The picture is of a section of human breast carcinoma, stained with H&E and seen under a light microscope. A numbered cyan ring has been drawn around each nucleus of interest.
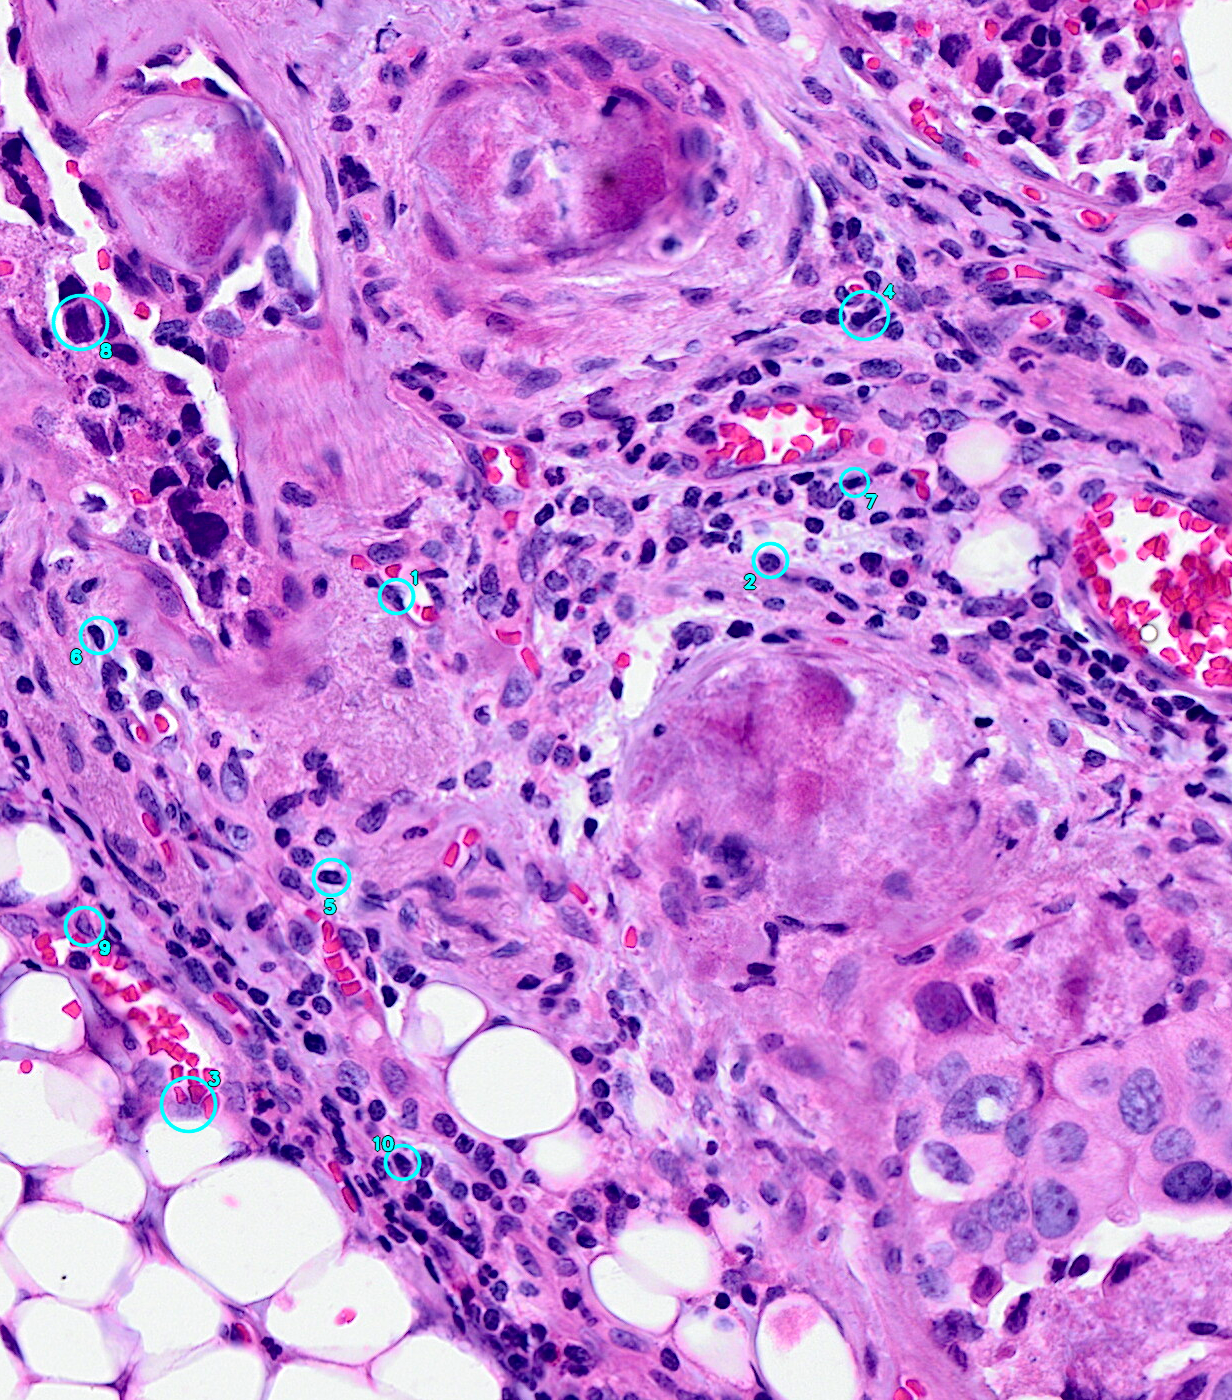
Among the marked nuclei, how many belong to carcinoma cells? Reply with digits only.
1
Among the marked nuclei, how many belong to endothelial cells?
3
